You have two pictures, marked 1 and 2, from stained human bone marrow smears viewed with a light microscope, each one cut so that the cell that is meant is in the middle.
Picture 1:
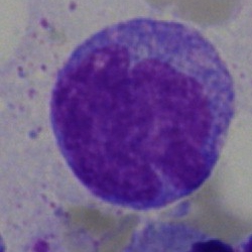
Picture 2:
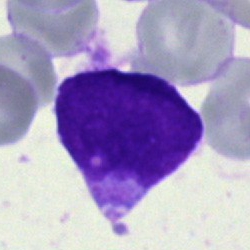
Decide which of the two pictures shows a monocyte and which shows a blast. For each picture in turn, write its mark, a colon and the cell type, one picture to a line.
1: monocyte
2: blast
